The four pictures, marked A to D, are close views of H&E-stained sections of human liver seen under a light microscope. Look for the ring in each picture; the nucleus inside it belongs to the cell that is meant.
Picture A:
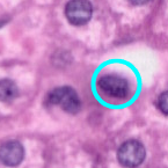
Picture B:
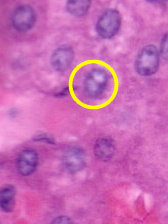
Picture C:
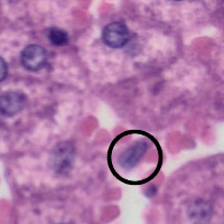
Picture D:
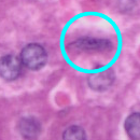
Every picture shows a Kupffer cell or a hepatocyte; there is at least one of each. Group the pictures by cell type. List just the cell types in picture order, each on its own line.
Kupffer cell
hepatocyte
Kupffer cell
Kupffer cell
